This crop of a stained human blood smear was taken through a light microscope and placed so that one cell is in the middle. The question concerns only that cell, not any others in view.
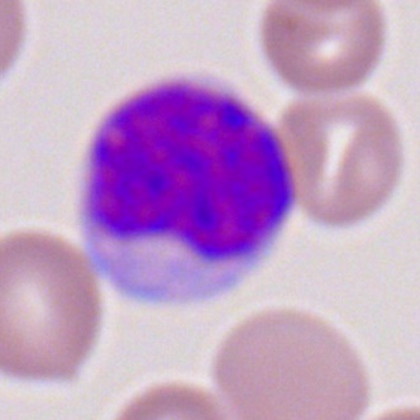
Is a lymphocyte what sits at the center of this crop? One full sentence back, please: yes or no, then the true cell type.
Yes, the cell right in the middle is a lymphocyte.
